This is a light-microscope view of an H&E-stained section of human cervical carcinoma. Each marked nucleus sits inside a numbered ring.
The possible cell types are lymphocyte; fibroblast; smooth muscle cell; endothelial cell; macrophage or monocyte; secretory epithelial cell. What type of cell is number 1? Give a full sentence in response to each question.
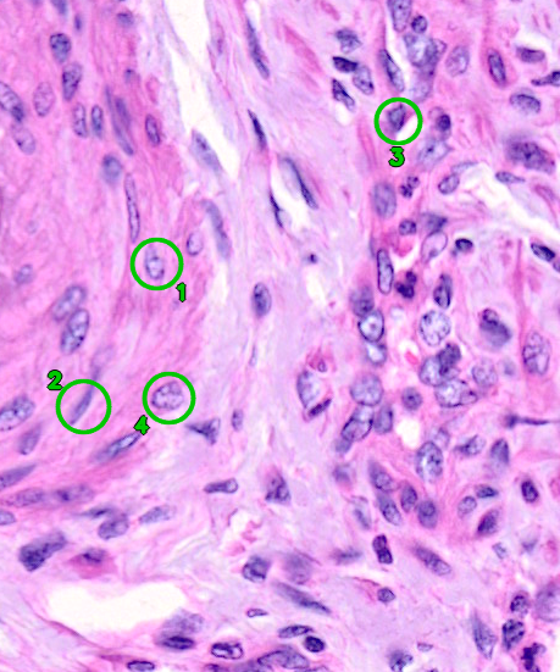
The numbered cell 1 in this field is a smooth muscle cell.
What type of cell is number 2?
The nucleus labeled 2 belongs to a smooth muscle cell.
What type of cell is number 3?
Here the cell numbered 3 is an endothelial cell.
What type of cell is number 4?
The cell marked with the number 4 is a smooth muscle cell.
